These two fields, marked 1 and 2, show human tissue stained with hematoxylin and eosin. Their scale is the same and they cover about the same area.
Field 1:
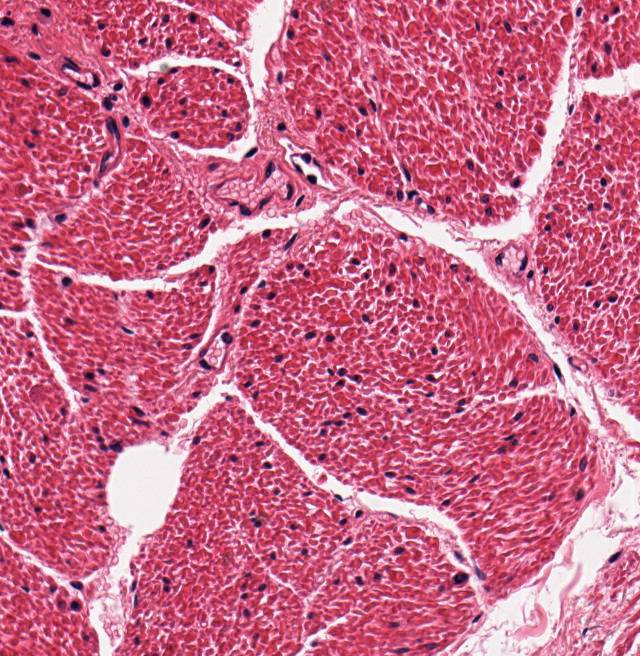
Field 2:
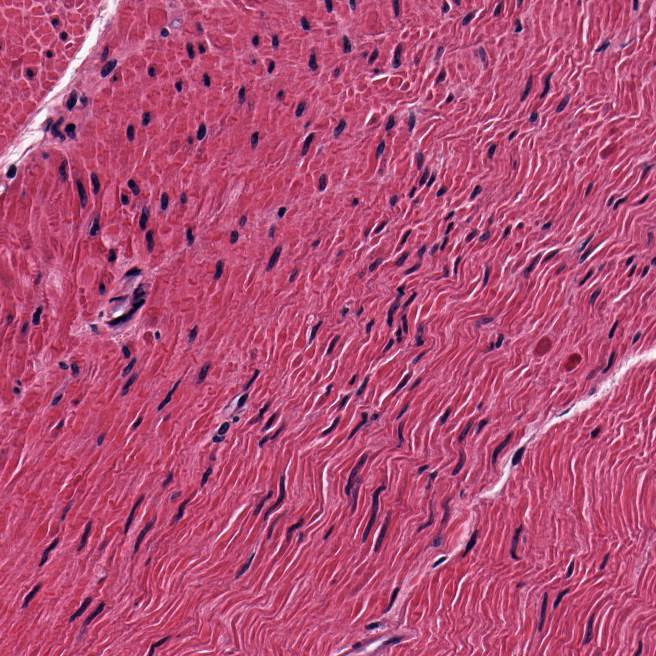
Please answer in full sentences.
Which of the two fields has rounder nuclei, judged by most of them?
On the whole the nuclei of field 1 are rounder than those of field 2.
